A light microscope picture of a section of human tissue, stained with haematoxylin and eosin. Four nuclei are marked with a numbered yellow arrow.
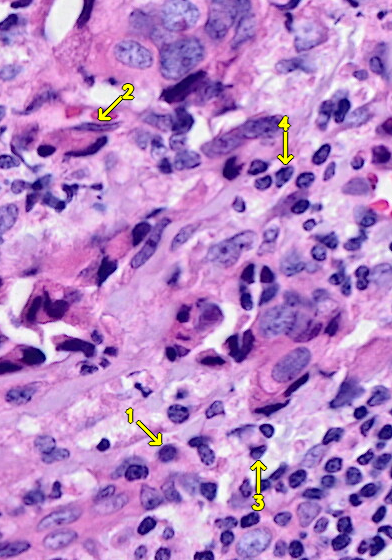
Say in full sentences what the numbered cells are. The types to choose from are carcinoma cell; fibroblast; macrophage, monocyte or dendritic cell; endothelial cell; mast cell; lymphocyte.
Cells 1, 3 and 4 are lymphocytes. Cell 2 is an endothelial cell.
